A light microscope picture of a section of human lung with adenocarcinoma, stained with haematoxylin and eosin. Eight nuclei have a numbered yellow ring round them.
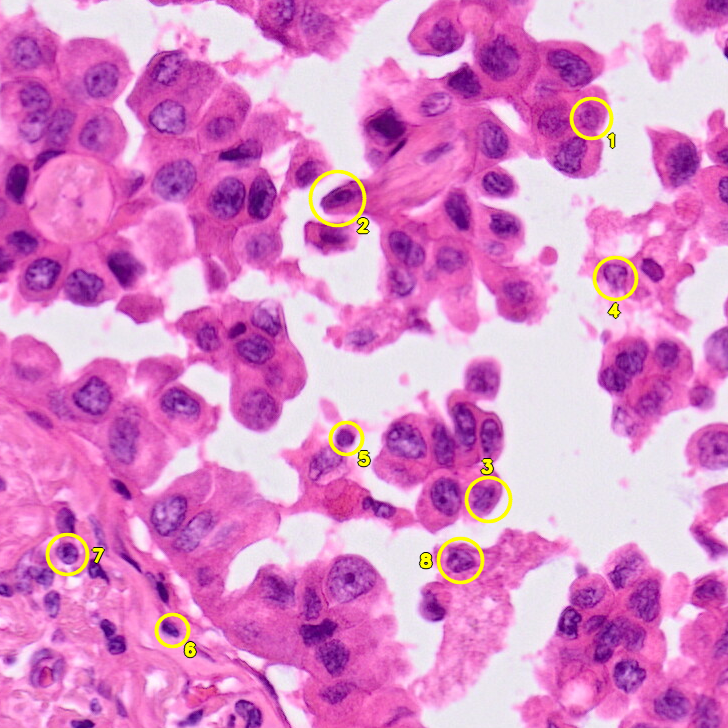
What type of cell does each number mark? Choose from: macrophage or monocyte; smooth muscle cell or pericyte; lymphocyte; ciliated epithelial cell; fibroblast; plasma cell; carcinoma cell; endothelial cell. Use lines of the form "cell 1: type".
cell 1: carcinoma cell
cell 2: carcinoma cell
cell 3: carcinoma cell
cell 4: macrophage or monocyte
cell 5: lymphocyte
cell 6: lymphocyte
cell 7: lymphocyte
cell 8: macrophage or monocyte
